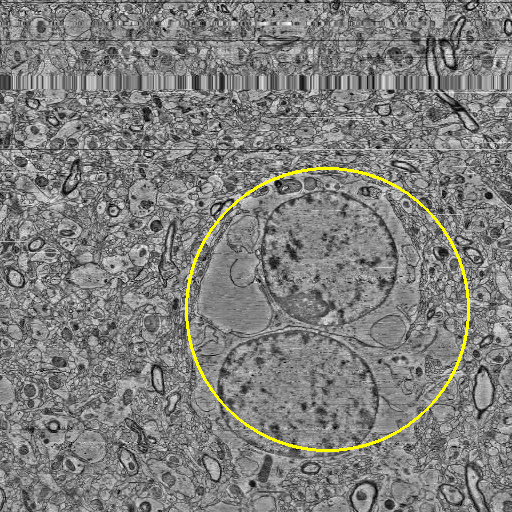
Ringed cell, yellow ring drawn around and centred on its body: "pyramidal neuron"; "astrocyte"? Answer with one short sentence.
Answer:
This ringed cell is an astrocyte.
